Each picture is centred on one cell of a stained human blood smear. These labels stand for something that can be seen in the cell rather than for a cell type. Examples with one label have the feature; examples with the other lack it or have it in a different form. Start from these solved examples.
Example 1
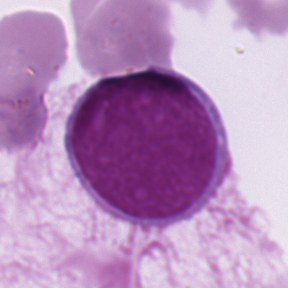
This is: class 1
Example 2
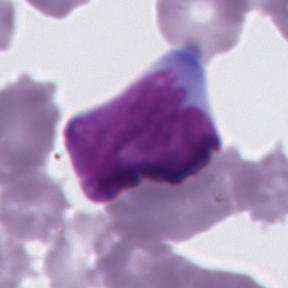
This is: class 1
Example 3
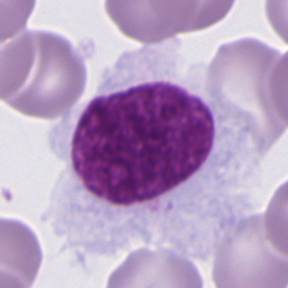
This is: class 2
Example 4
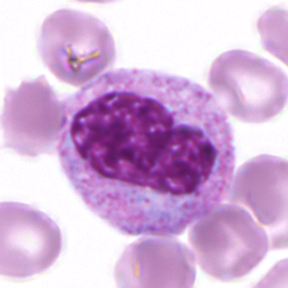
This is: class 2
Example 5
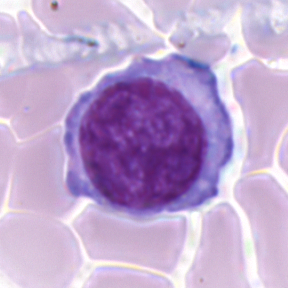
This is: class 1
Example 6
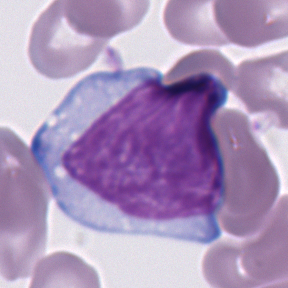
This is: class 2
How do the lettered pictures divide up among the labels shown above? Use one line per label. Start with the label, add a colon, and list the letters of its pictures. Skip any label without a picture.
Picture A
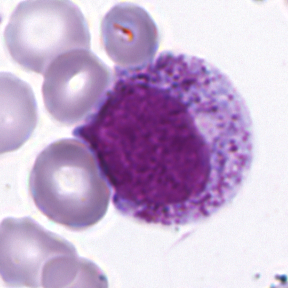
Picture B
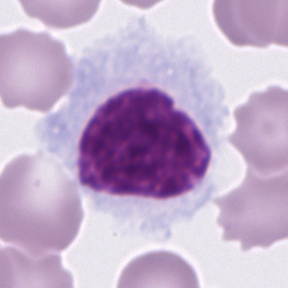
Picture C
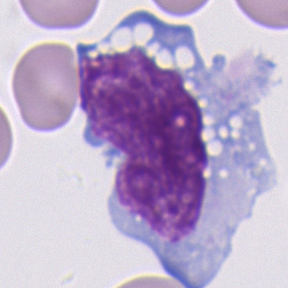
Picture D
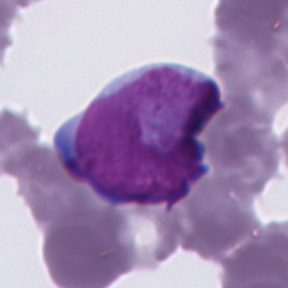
class 1: D
class 2: A, B, C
